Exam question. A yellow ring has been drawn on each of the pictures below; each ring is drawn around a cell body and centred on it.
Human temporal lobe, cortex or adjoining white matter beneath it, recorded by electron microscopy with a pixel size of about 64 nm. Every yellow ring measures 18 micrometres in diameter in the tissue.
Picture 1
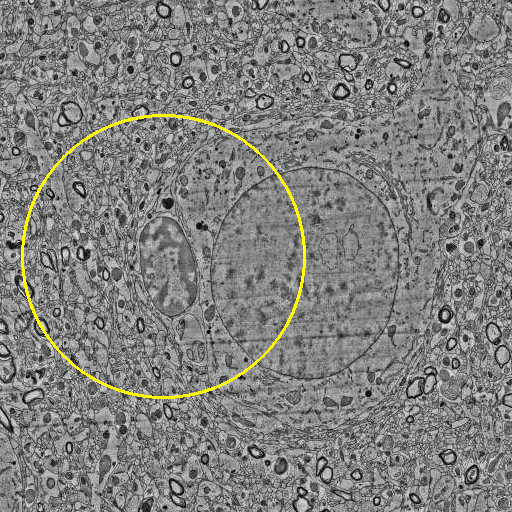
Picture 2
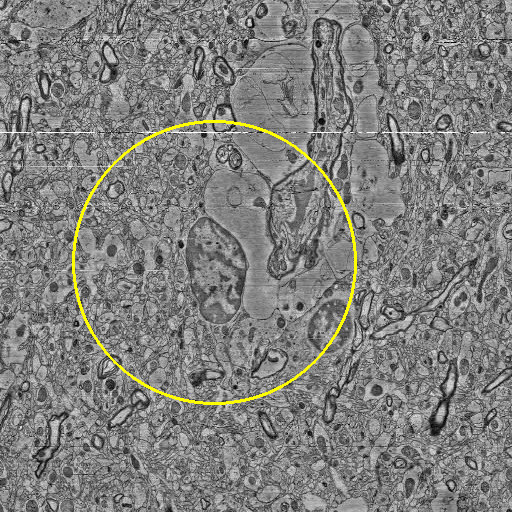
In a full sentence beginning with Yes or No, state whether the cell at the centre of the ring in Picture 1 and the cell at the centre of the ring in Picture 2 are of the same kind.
Yes, the two cells are of the same kind.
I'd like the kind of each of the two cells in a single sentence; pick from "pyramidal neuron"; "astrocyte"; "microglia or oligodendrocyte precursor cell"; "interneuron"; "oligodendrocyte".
In both pictures the ring is centred on a microglial cell or oligodendrocyte precursor cell.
